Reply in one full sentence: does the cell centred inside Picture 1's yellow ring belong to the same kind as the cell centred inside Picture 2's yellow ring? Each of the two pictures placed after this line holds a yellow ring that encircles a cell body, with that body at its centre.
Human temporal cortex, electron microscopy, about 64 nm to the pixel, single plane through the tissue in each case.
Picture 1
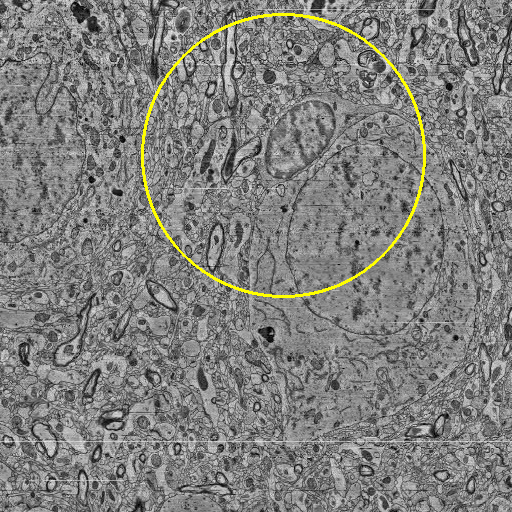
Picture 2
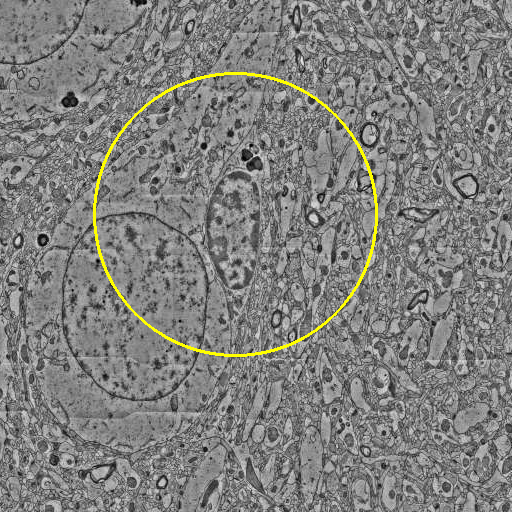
No, the ring-centred cells in Picture 1 and Picture 2 are of two separate kinds.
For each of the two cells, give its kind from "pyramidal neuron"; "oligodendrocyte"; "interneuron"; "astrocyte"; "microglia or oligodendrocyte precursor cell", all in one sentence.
The first picture has an oligodendrocyte in its ring, the second has a microglial cell or oligodendrocyte precursor cell.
